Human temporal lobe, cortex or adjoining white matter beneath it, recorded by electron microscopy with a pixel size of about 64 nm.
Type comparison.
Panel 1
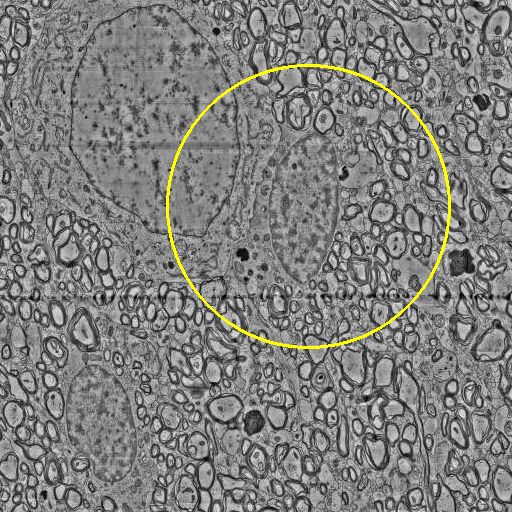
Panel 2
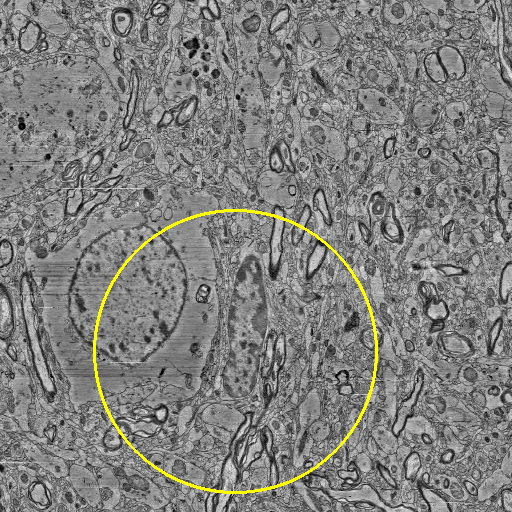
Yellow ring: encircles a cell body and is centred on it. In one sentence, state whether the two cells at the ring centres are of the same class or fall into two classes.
In these panels, the two cells at the ring centres fall into two classes.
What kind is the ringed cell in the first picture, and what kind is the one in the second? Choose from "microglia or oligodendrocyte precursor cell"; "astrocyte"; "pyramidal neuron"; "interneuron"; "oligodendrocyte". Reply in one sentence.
The first cell is an oligodendrocyte; the second is a microglial cell or oligodendrocyte precursor cell.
